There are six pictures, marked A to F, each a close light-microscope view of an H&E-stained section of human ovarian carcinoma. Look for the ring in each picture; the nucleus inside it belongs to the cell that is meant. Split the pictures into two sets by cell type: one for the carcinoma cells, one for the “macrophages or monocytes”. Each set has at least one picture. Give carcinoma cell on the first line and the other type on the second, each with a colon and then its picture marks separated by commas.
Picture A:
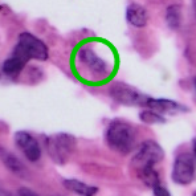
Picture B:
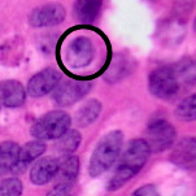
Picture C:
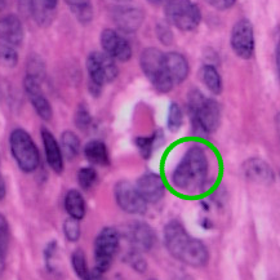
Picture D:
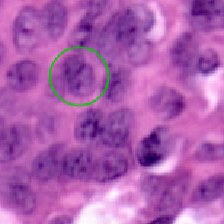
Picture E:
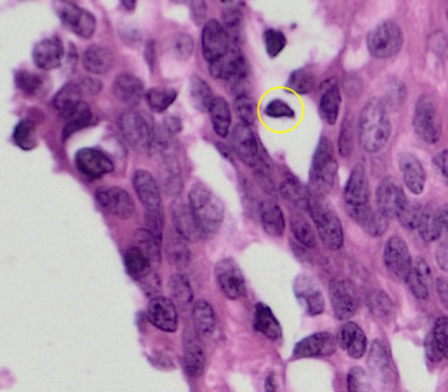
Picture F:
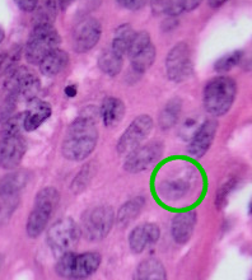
carcinoma cell: C, D, E, F
macrophage or monocyte: A, B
